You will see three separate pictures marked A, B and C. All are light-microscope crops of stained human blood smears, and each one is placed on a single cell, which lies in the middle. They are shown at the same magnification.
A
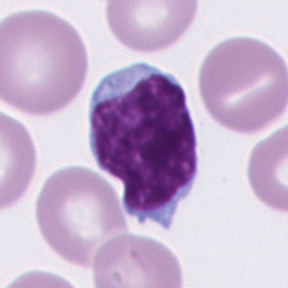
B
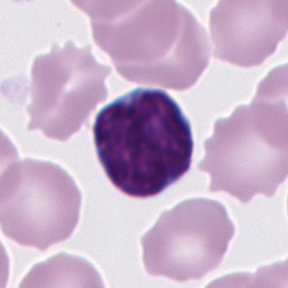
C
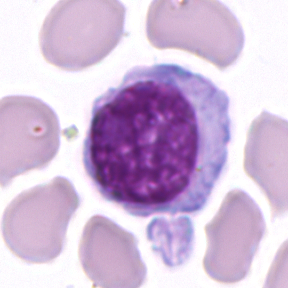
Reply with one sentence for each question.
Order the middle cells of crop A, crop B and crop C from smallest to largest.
Smallest first: B, A, C.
